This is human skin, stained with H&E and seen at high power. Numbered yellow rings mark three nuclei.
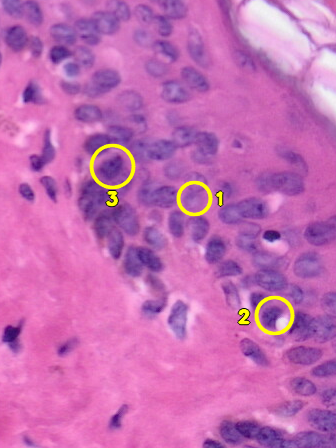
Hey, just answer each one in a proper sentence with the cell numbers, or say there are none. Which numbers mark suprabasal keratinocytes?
Only number 1 is a suprabasal keratinocyte; none of the others are.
